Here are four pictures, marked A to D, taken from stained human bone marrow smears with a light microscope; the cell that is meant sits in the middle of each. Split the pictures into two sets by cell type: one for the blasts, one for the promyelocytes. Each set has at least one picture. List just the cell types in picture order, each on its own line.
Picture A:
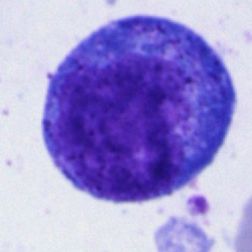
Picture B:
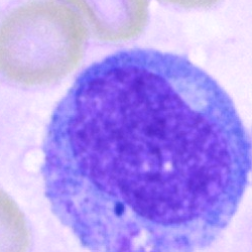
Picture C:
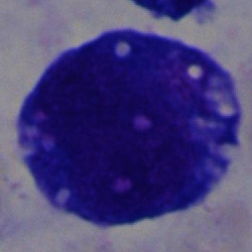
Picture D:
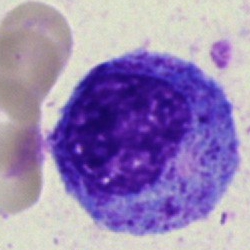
promyelocyte
promyelocyte
blast
promyelocyte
